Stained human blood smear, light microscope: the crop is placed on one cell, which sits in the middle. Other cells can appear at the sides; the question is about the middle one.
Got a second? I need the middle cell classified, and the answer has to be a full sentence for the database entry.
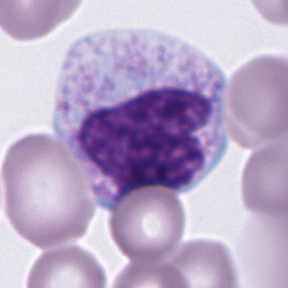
By classification, the middle cell of this crop is a band neutrophil.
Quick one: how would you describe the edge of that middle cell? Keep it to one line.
Its periphery is smooth, and no projections arise from it.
